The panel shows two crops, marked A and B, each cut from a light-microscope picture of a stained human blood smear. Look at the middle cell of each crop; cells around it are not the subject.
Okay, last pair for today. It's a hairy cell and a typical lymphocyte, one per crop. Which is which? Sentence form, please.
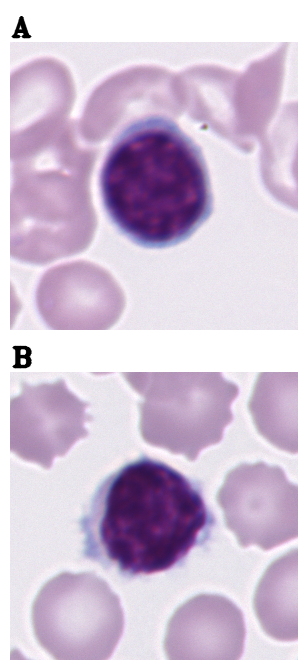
The middle cell in crop A is a typical lymphocyte; the middle cell in crop B is a hairy cell.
